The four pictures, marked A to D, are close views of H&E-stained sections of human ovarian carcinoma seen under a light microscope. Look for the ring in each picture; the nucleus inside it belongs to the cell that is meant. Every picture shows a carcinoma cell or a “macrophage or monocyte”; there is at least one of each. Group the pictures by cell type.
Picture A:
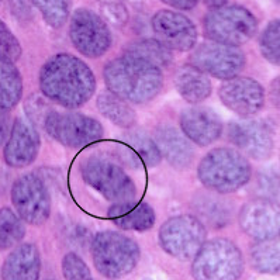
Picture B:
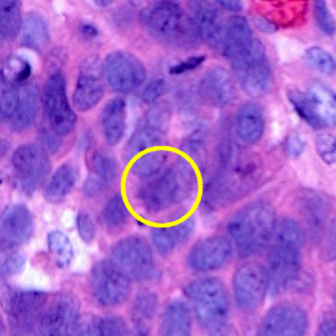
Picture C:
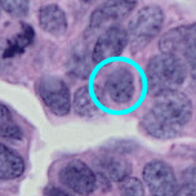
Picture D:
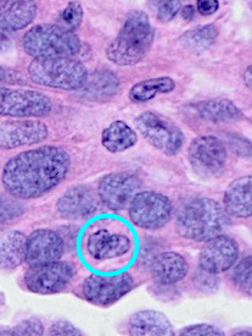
A: carcinoma cell
B: carcinoma cell
C: carcinoma cell
D: macrophage or monocyte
